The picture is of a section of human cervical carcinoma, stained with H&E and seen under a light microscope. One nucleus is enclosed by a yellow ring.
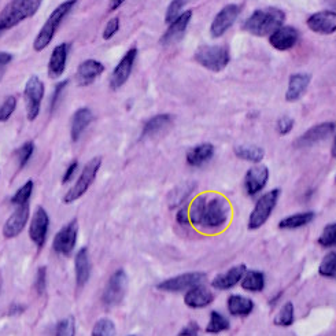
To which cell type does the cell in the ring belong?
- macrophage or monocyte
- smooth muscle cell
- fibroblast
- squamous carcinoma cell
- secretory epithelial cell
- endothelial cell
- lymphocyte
endothelial cell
